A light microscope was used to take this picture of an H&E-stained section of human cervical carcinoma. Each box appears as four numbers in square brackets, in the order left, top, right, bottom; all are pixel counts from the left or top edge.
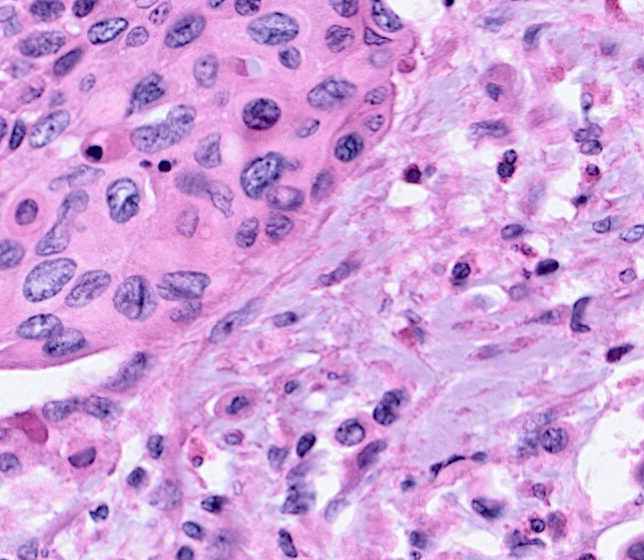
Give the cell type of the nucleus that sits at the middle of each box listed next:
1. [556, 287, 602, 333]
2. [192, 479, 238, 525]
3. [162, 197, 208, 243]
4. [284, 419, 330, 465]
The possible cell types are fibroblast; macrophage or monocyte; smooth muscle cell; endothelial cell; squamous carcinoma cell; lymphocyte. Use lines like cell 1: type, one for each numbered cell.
cell 1: macrophage or monocyte
cell 2: lymphocyte
cell 3: squamous carcinoma cell
cell 4: lymphocyte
